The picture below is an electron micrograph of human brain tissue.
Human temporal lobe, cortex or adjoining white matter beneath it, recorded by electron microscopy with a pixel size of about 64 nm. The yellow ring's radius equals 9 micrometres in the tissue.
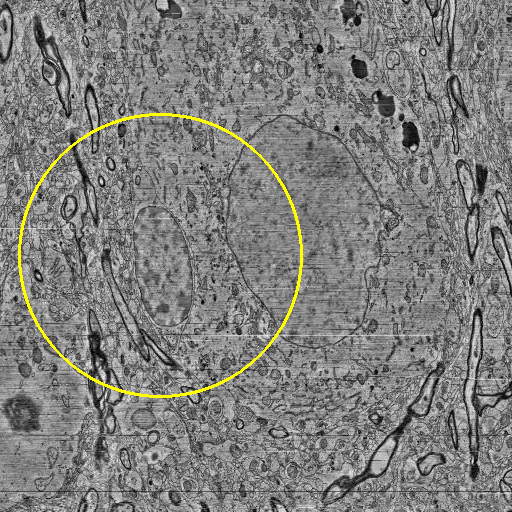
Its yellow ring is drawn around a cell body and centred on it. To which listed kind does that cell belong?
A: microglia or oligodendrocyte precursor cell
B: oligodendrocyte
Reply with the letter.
A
